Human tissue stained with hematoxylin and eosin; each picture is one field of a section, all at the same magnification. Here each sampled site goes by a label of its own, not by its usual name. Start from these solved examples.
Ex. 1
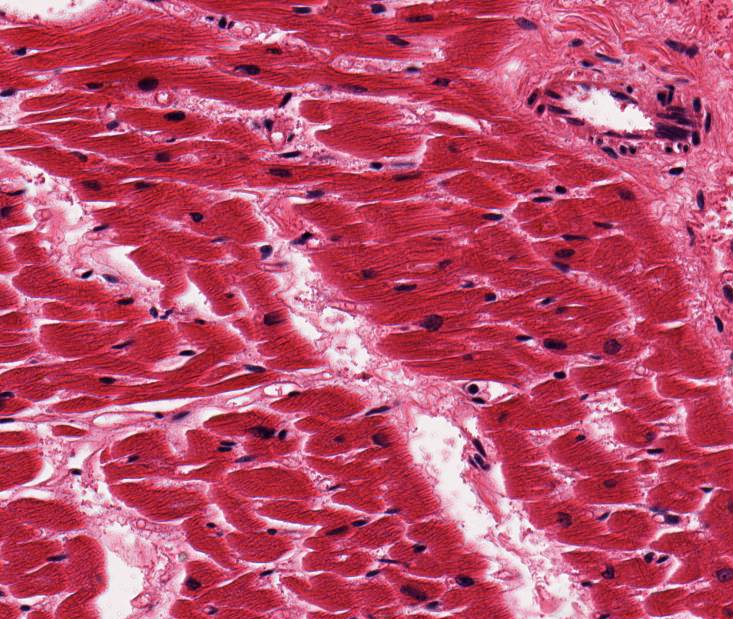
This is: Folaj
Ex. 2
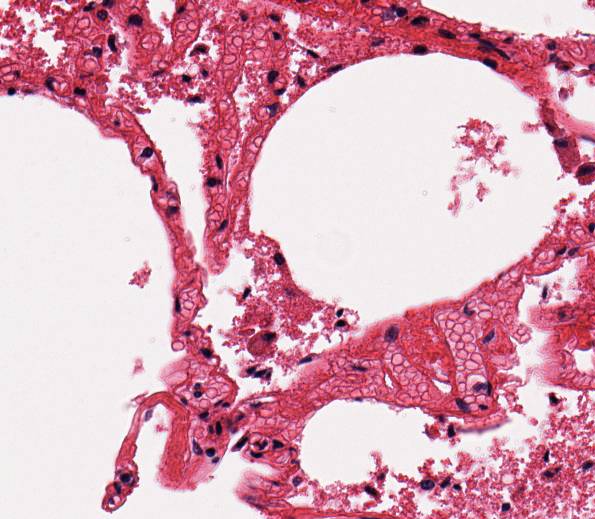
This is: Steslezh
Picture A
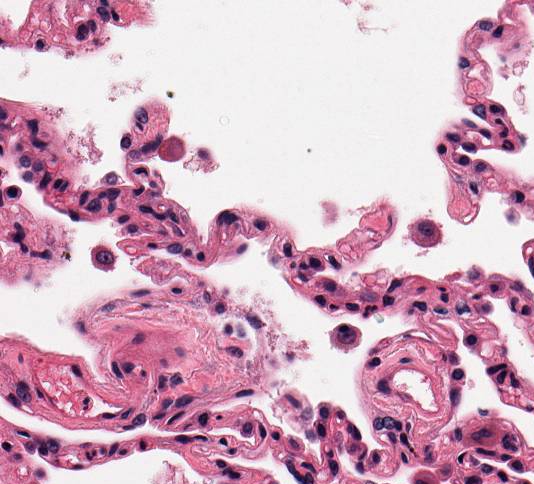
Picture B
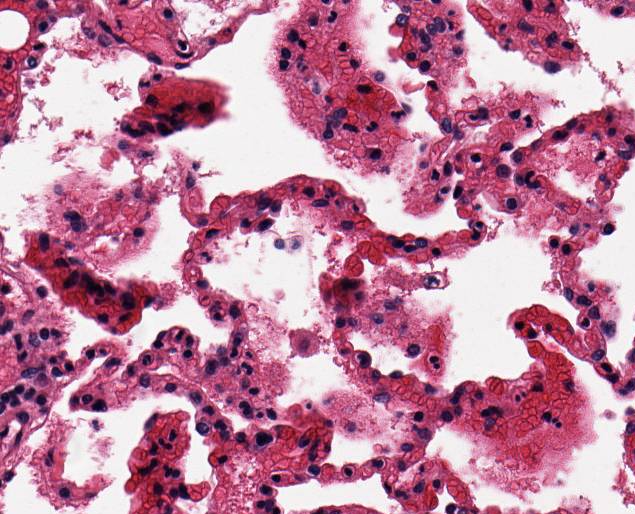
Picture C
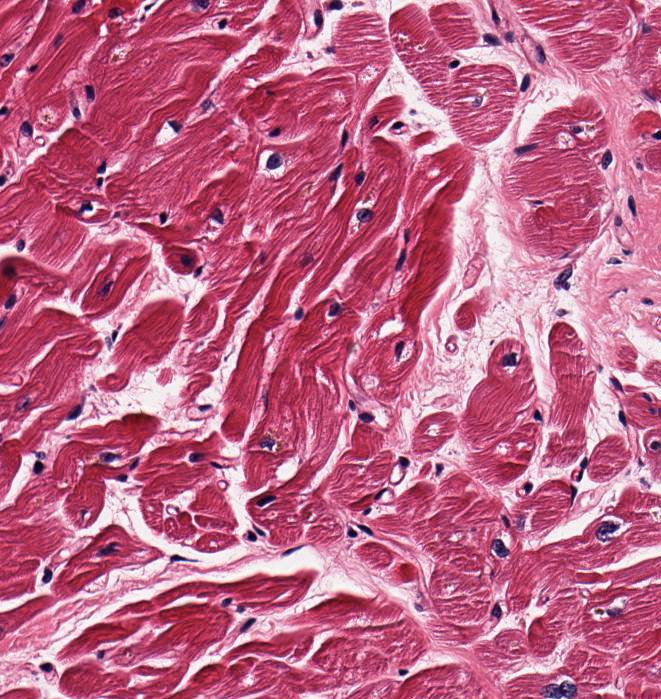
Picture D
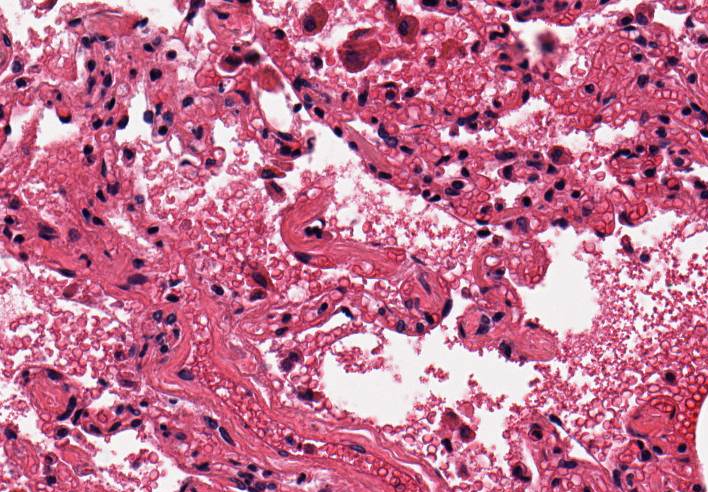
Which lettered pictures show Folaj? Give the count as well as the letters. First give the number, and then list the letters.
1, namely C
